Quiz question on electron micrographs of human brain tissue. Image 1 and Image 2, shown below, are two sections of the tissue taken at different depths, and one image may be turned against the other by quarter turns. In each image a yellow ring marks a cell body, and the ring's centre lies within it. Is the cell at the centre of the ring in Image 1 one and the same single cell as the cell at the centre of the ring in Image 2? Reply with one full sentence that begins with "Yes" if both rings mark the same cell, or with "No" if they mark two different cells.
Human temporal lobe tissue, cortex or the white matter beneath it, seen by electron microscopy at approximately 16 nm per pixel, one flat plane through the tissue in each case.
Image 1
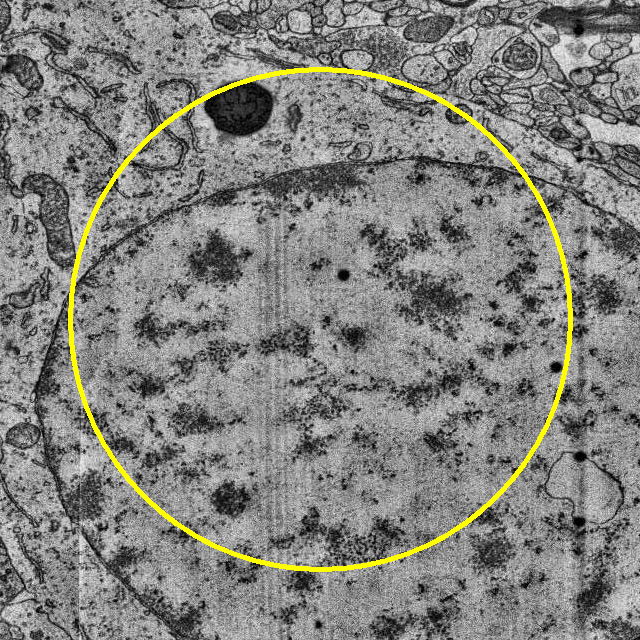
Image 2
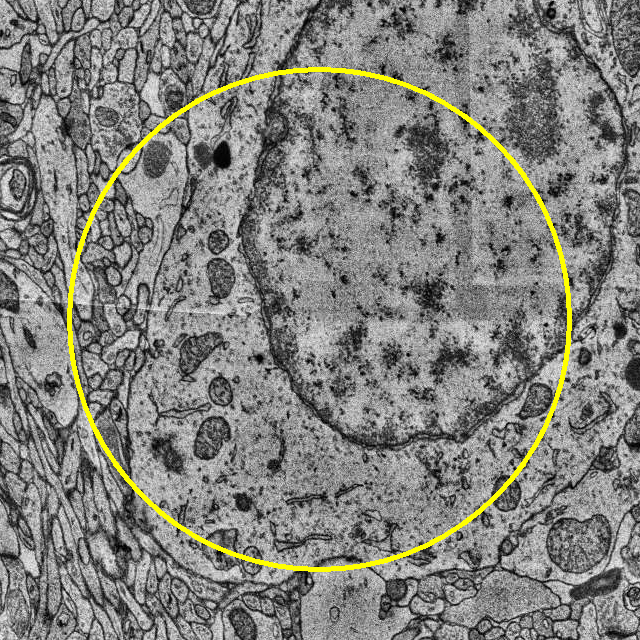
Yes, what the two rings mark is one cell.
